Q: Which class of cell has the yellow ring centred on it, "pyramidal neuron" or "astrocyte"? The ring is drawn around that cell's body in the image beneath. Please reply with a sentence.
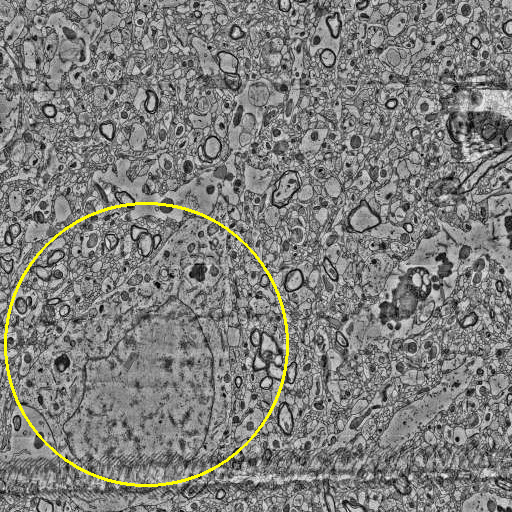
It is centred on a pyramidal neuron.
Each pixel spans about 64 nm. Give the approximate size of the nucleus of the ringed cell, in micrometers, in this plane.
The nucleus is approximately 12 micrometers long by 9 micrometers wide in this plane.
